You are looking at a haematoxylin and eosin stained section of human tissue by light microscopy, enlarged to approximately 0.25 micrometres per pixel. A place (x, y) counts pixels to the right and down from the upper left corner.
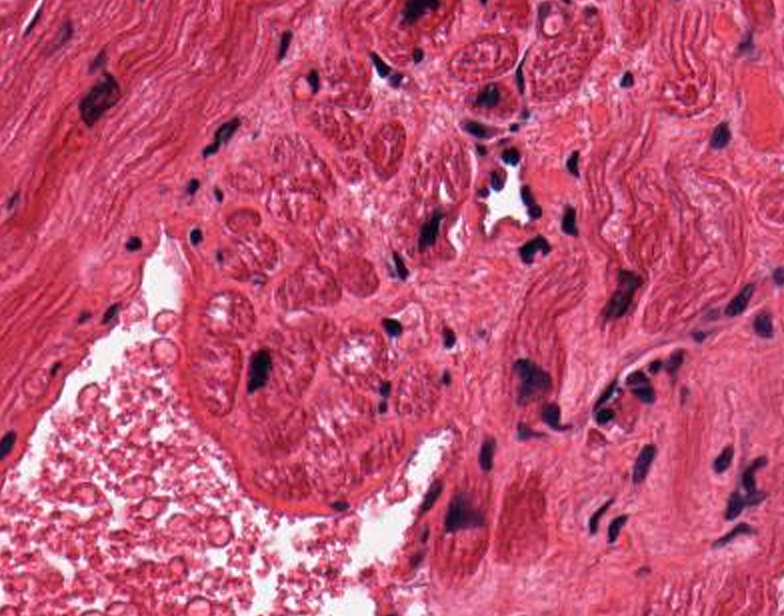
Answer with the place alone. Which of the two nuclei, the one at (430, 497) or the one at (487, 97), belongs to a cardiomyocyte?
(487, 97)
